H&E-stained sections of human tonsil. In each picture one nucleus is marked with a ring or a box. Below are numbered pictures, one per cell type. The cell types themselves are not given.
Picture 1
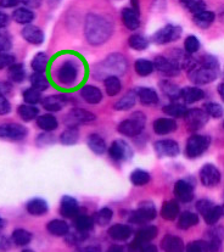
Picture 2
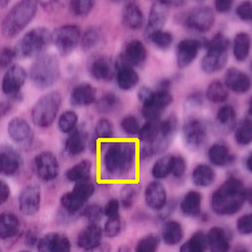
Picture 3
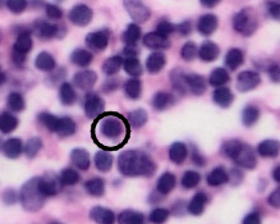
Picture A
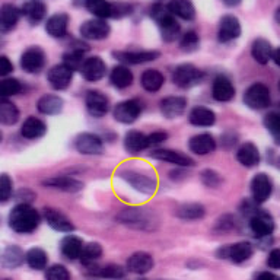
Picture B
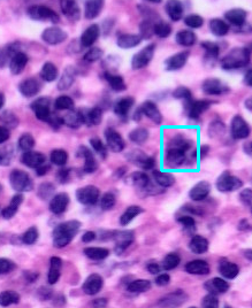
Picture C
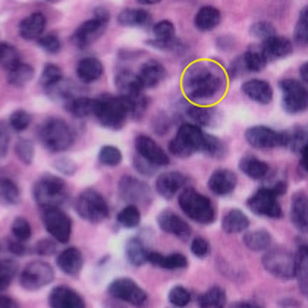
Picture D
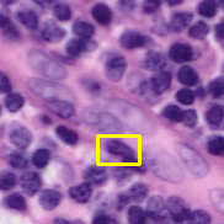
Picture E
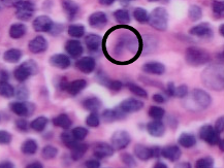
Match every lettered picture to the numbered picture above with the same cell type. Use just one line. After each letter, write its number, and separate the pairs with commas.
A 1, B 2, C 2, D 1, E 1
